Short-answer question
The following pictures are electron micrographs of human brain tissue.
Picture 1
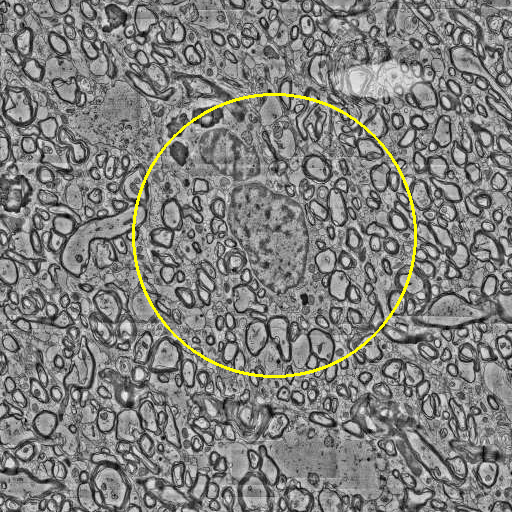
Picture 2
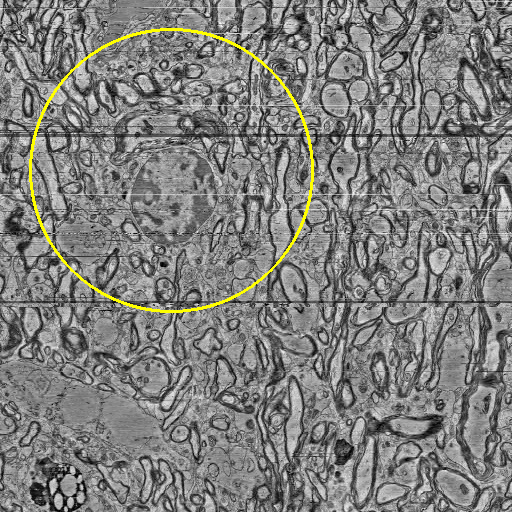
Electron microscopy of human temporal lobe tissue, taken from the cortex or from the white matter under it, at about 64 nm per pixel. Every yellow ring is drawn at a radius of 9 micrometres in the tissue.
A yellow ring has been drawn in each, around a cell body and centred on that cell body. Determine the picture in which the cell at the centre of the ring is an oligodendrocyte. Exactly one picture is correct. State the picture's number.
1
